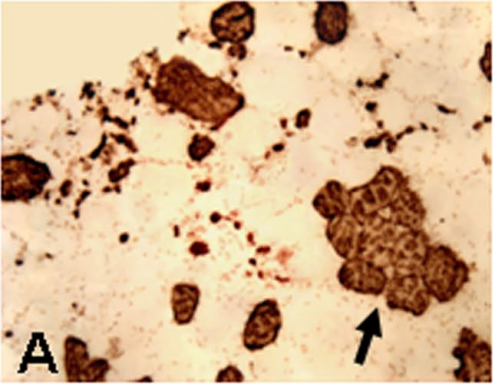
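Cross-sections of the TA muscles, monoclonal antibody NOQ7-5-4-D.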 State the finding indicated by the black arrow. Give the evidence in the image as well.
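Fiber type-grouping. The arrow points to a compact cluster of many adjacent fibers that are all dark-stained. Elsewhere the dark fibers lie singly, scattered among unstained areas.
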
